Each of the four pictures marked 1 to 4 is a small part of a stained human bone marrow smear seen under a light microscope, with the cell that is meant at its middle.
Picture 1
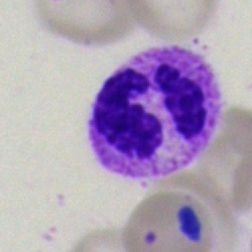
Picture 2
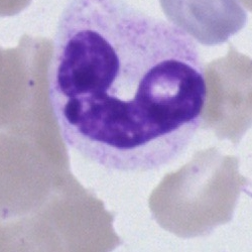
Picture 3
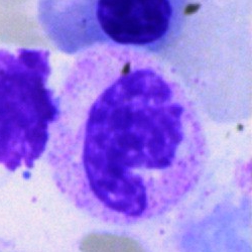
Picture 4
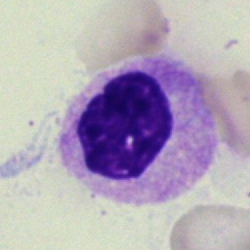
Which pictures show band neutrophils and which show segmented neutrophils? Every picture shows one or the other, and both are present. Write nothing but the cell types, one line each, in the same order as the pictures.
segmented neutrophil
band neutrophil
band neutrophil
band neutrophil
